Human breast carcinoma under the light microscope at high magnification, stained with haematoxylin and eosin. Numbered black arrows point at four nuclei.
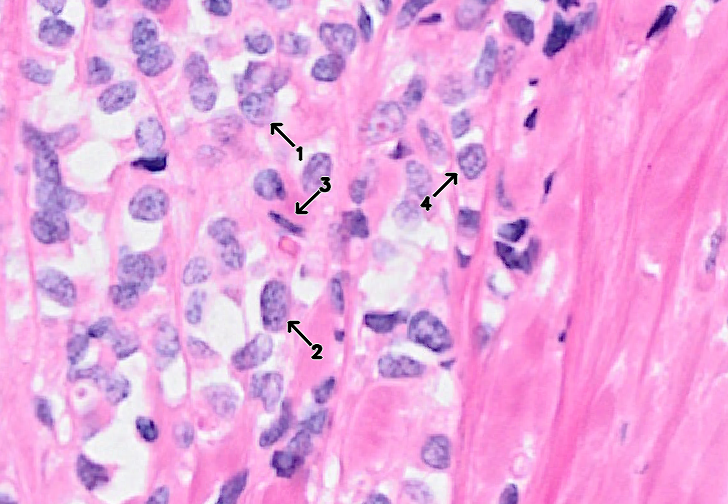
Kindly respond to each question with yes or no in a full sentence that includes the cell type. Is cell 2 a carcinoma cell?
Yes, what number 2 marks is a carcinoma cell.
